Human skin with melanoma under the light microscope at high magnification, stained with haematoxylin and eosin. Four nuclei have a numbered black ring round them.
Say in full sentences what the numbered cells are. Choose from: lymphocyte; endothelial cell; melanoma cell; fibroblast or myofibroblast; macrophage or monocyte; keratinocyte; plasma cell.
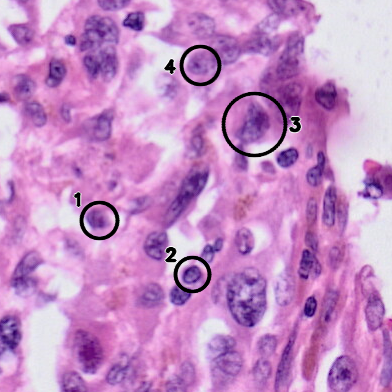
Cell 1 is a melanoma cell, cell 2 is a lymphocyte, cell 3 is a melanoma cell and cell 4 is a melanoma cell.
